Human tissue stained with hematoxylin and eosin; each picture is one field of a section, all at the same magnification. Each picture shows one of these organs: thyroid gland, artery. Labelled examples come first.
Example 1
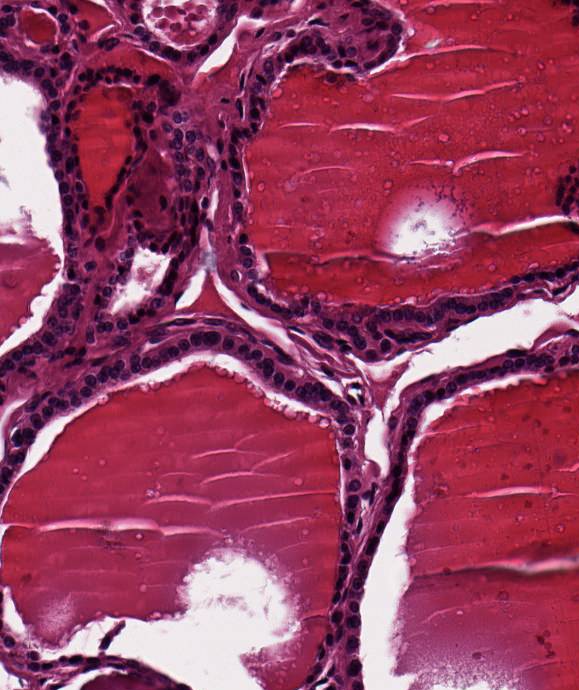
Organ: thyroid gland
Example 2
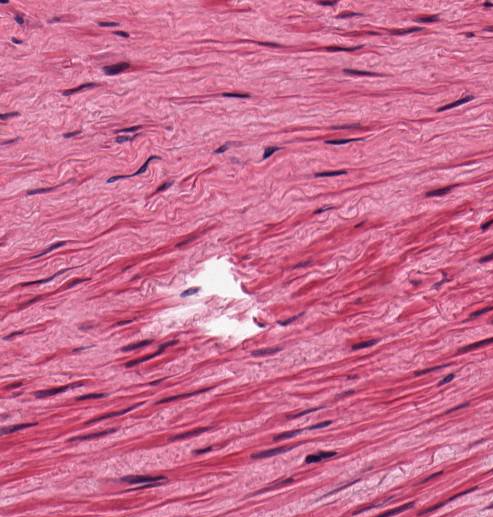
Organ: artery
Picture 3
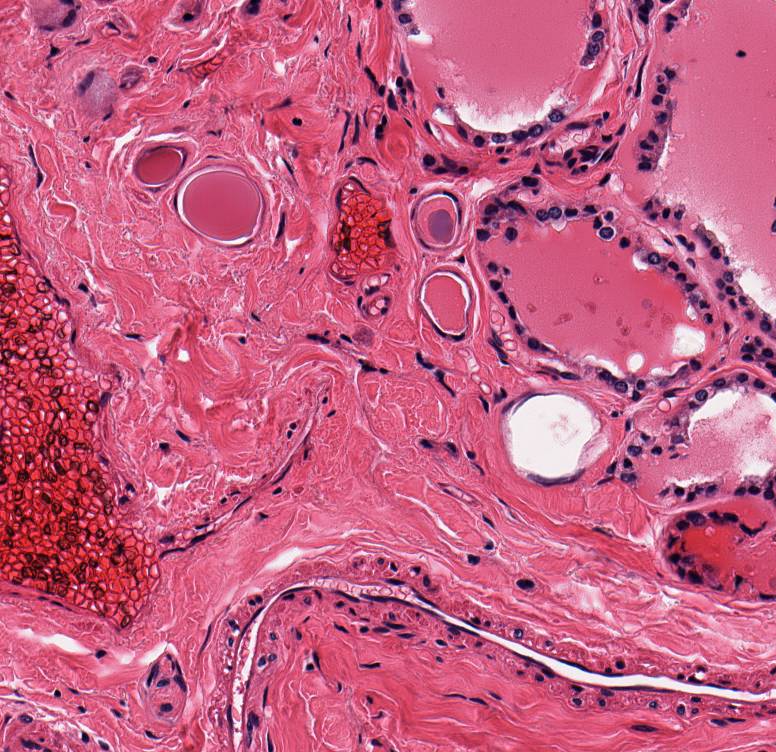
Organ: thyroid gland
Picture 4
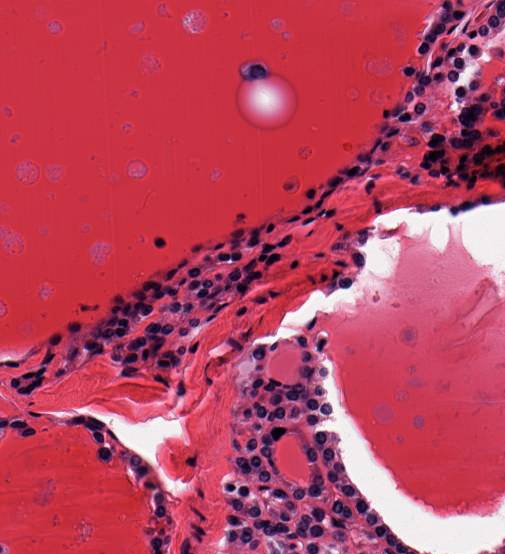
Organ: thyroid gland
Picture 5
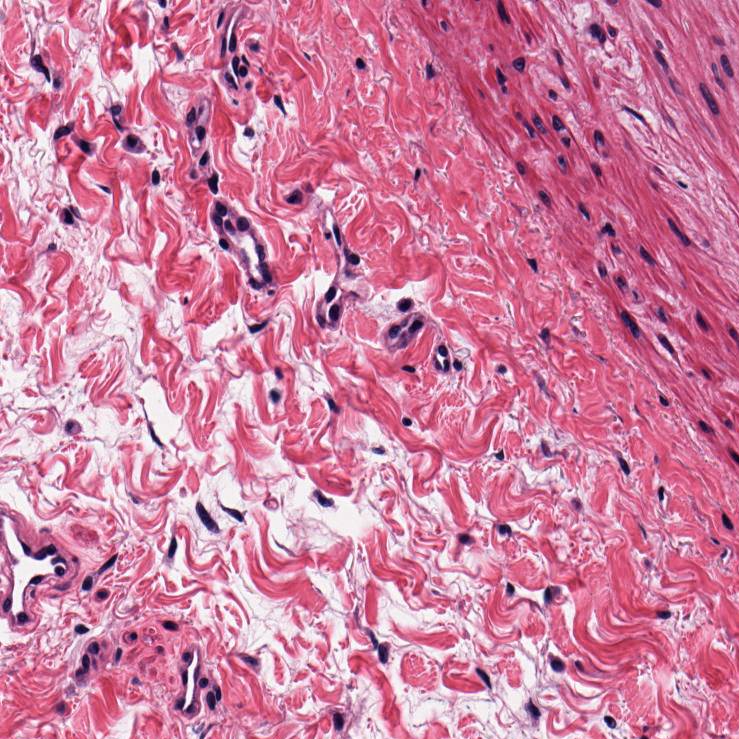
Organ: artery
